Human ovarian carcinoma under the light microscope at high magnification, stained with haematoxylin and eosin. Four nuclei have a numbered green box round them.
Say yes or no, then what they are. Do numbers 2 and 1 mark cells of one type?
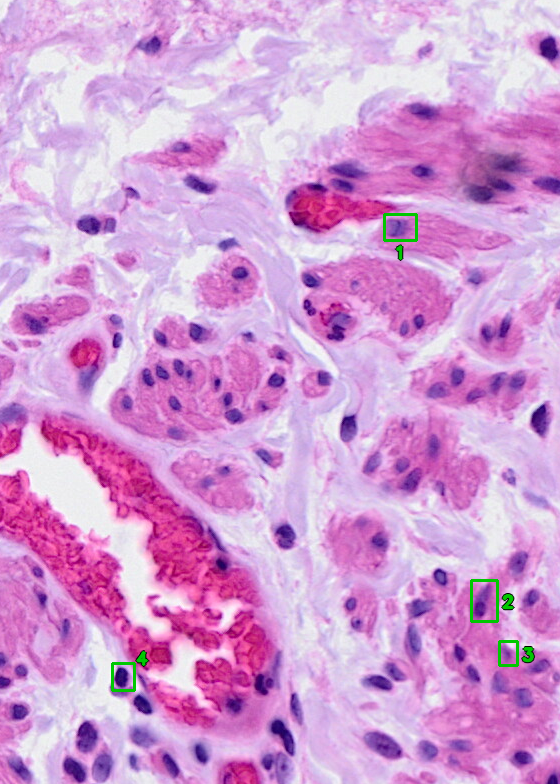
Yes, both are smooth muscle cells.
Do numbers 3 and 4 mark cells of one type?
No, cell 3 is a smooth muscle cell and cell 4 is a lymphocyte.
